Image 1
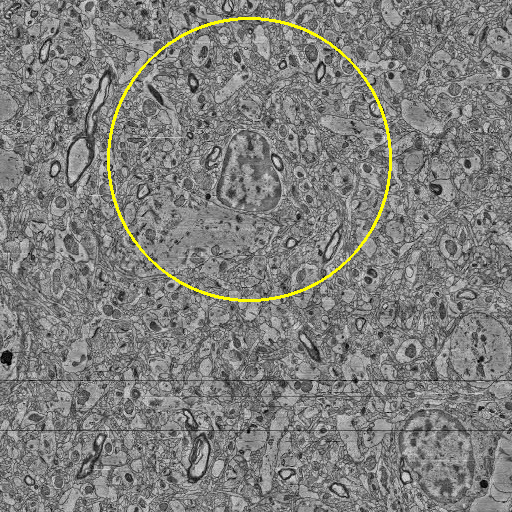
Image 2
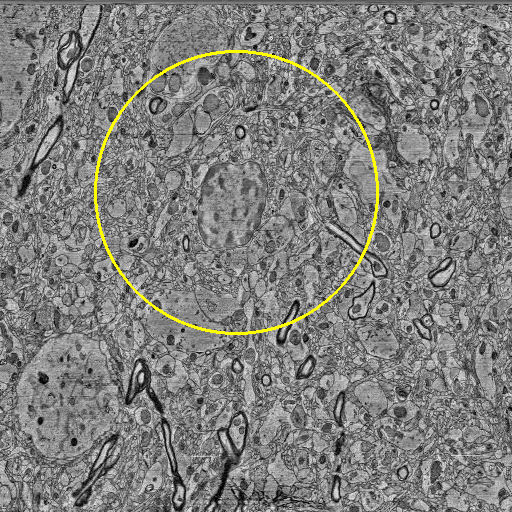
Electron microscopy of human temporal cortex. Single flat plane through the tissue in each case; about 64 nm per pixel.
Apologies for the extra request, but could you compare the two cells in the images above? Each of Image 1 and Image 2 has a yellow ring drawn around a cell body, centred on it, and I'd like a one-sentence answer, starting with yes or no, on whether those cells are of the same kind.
Yes, both cells are of the same kind.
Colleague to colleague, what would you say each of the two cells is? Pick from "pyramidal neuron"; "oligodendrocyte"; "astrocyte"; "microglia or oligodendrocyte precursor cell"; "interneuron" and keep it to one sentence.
Each one of the two ringed cells is a microglial cell or oligodendrocyte precursor cell.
